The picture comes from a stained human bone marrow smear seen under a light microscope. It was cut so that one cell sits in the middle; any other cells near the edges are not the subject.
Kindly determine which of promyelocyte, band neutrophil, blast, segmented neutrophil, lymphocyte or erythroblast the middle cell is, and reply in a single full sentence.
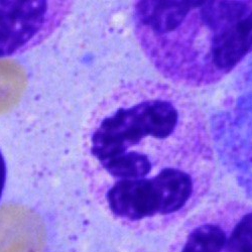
To answer, the cell in the center of the crop is a segmented neutrophil.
